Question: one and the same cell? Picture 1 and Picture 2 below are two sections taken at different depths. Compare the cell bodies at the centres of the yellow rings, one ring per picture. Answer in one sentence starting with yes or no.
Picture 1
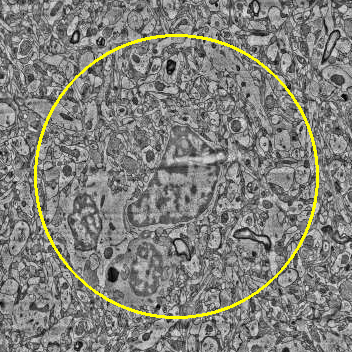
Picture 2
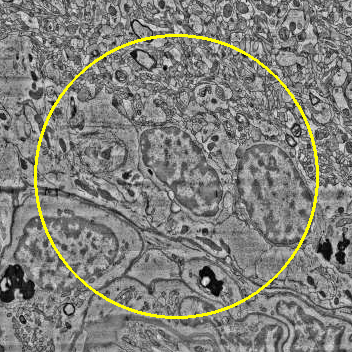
No, the circled cells number two, not one.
